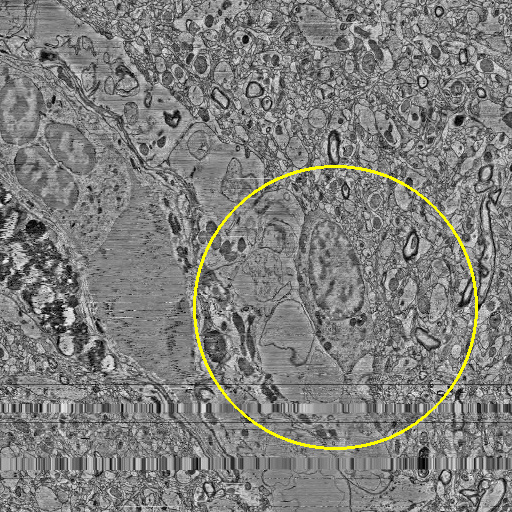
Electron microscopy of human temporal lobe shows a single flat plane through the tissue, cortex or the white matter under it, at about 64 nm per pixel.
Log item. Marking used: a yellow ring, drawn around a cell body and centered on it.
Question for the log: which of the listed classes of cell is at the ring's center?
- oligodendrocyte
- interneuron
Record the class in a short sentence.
At the center of the ring lies an oligodendrocyte.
